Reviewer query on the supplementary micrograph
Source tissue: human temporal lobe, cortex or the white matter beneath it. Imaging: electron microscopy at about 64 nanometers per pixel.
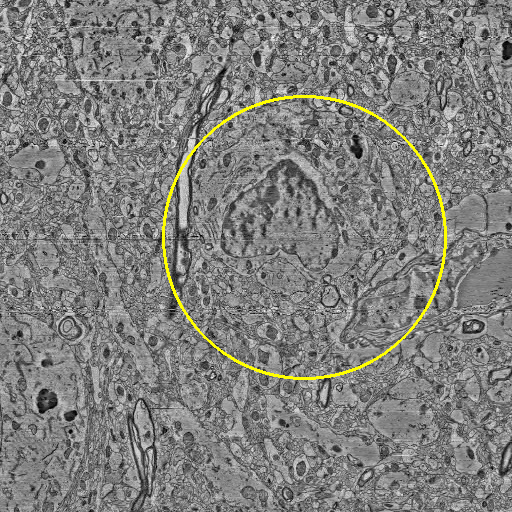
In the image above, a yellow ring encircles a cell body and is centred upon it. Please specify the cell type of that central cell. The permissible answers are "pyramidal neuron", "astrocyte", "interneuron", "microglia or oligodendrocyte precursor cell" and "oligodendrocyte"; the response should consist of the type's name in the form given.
microglia or oligodendrocyte precursor cell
